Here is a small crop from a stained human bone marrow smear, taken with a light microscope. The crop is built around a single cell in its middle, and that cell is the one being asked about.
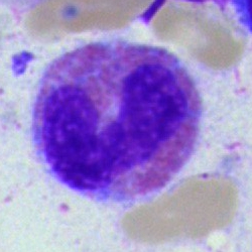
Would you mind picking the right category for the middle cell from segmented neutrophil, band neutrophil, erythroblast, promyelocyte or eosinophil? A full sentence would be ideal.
The crop's centre is taken up by an eosinophil.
